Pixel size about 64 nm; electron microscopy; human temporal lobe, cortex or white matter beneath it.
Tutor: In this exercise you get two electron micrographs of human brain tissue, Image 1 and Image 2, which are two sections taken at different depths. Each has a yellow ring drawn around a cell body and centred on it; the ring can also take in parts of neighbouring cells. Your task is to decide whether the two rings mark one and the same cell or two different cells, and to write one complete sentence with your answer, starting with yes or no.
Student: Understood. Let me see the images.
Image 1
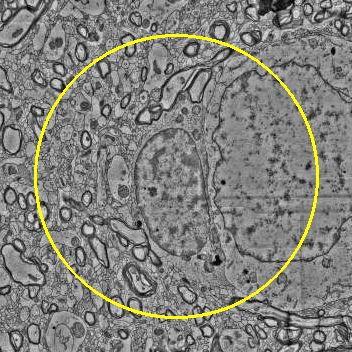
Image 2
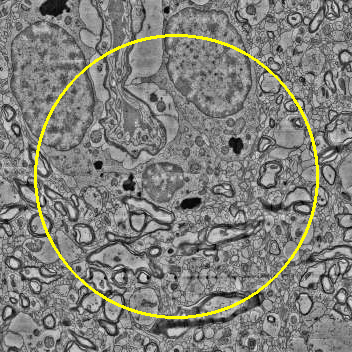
No, one ring and the other ring mark two distinct cells.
